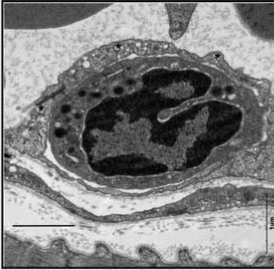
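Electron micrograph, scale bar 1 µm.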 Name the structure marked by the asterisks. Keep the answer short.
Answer: Thin endothelial sheet.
